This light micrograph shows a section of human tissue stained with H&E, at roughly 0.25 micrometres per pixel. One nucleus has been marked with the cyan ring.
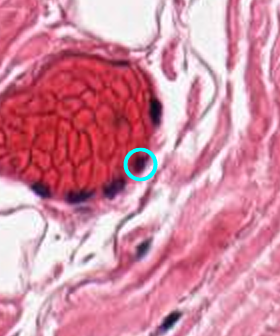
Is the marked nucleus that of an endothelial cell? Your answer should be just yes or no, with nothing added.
yes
